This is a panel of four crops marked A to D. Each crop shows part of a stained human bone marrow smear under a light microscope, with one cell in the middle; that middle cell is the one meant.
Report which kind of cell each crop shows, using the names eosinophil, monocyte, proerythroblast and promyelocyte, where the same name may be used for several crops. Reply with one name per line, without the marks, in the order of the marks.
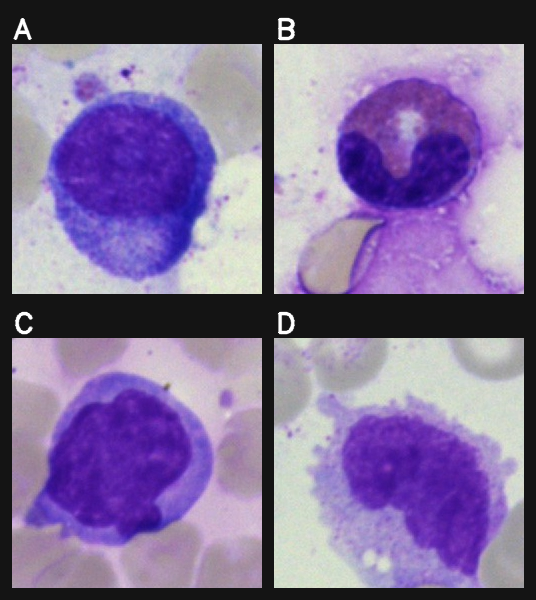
promyelocyte
eosinophil
monocyte
monocyte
